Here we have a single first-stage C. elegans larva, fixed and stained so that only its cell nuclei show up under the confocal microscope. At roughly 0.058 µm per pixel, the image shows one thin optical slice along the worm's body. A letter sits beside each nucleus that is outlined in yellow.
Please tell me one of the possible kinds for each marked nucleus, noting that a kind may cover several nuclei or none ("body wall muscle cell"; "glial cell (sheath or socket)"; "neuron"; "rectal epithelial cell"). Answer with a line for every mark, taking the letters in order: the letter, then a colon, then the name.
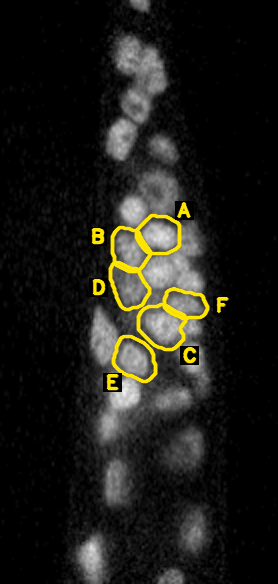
A: glial cell (sheath or socket)
B: body wall muscle cell
C: rectal epithelial cell
D: rectal epithelial cell
E: rectal epithelial cell
F: neuron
